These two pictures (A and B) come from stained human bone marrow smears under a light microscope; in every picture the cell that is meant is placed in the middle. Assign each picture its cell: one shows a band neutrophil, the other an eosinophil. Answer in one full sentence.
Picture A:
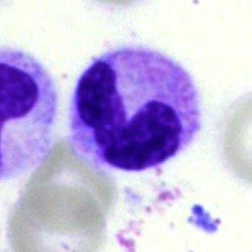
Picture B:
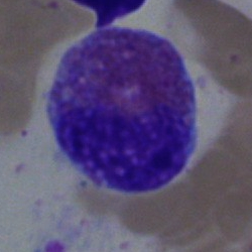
The cell in picture A is a band neutrophil, and the one in picture B is an eosinophil.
